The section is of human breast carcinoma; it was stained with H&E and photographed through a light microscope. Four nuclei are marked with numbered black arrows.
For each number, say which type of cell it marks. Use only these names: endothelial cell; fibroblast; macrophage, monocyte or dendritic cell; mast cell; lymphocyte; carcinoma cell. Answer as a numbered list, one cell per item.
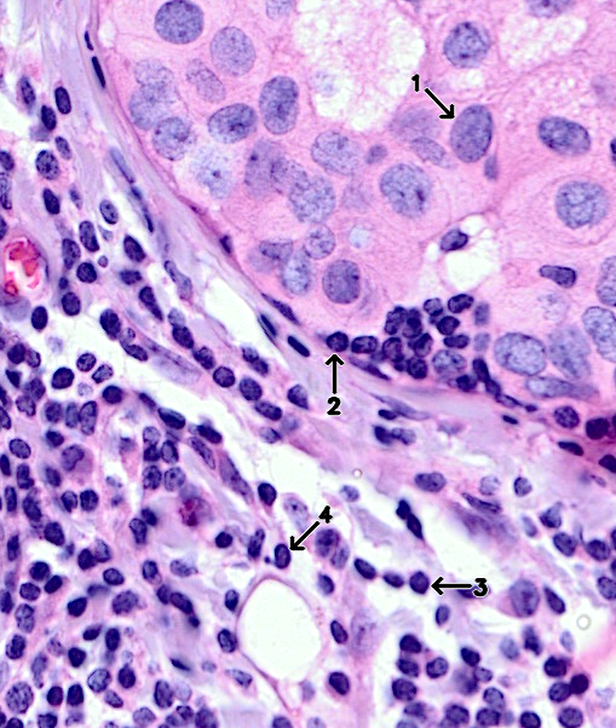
1. carcinoma cell
2. lymphocyte
3. lymphocyte
4. lymphocyte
